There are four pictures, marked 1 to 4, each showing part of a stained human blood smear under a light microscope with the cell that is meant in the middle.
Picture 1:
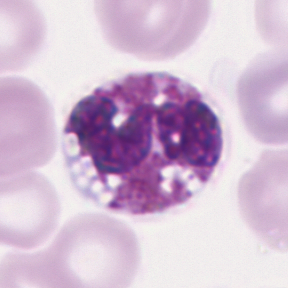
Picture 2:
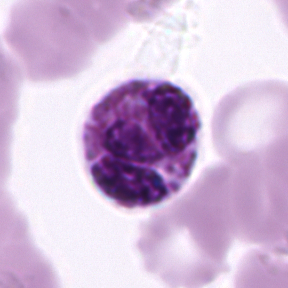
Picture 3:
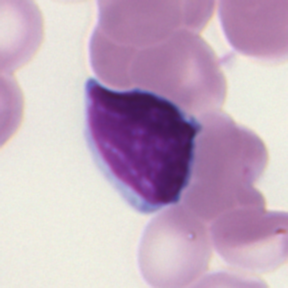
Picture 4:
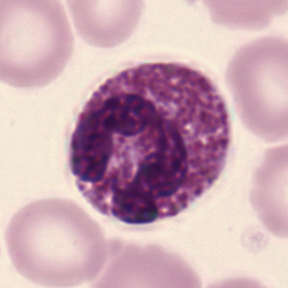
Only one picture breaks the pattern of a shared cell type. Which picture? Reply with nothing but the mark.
3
